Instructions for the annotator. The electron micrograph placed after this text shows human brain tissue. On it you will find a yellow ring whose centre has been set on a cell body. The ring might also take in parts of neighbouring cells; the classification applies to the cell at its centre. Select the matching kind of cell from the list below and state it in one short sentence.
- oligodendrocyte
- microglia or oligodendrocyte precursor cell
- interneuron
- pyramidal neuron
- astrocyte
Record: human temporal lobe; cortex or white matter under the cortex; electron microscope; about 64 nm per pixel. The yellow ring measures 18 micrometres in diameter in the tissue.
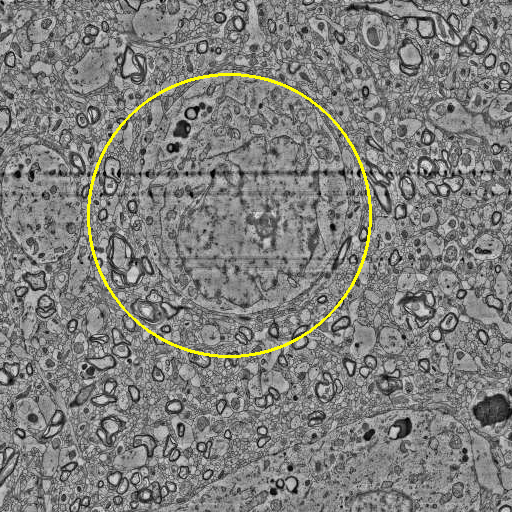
The ring is drawn on the cell body of an interneuron.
